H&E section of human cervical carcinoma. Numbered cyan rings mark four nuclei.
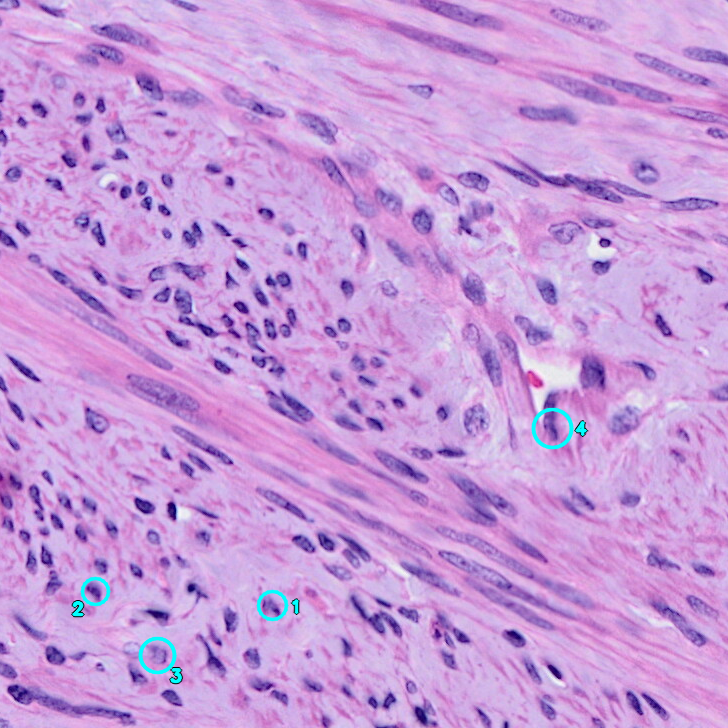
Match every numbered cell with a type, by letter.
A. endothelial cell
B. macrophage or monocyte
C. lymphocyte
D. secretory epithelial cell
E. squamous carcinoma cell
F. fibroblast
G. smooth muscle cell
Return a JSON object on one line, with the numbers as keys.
{"1": "G", "2": "G", "3": "G", "4": "A"}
